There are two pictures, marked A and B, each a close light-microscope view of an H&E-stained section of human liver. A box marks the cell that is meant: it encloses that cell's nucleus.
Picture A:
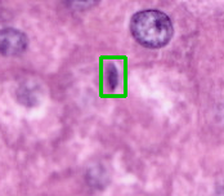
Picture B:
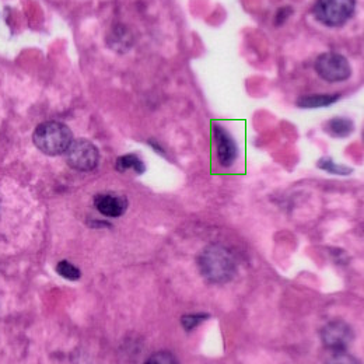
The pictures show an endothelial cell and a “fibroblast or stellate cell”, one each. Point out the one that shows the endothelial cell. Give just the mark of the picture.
A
